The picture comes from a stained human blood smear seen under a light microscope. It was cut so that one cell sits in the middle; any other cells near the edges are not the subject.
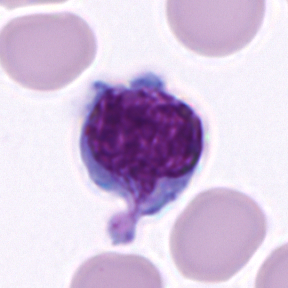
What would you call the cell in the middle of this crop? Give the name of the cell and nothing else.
plasma cell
